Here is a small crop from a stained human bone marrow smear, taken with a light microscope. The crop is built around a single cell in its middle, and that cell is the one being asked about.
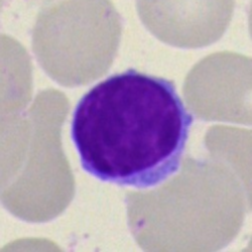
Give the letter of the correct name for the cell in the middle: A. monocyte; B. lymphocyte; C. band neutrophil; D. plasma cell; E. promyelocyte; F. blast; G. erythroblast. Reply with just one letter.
B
